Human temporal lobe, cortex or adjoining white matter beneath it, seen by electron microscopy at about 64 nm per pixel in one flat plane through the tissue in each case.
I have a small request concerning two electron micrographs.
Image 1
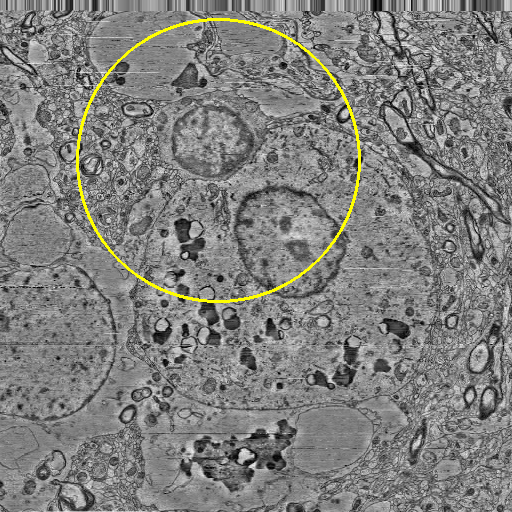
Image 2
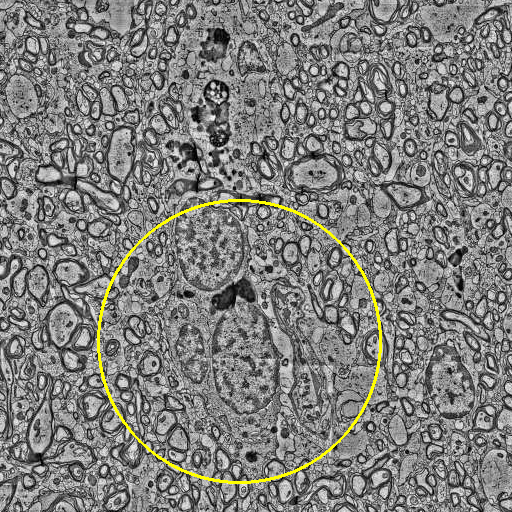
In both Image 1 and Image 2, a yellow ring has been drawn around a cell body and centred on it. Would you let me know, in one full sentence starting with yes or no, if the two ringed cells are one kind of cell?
Yes, the cells ringed in Image 1 and Image 2 are one kind of cell.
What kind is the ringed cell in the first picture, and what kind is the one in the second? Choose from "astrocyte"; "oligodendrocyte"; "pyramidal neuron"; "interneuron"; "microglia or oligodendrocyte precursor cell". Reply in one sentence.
In each picture the ringed cell is an oligodendrocyte.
